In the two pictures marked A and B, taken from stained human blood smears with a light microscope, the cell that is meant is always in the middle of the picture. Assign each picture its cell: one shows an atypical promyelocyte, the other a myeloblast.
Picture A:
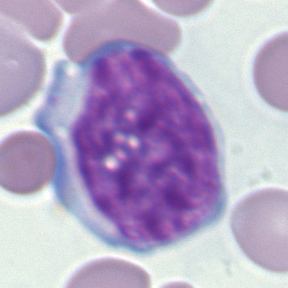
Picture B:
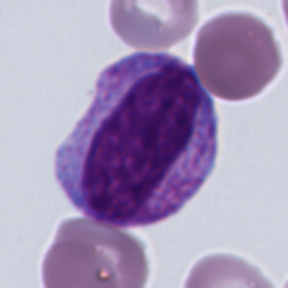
A: myeloblast
B: atypical promyelocyte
